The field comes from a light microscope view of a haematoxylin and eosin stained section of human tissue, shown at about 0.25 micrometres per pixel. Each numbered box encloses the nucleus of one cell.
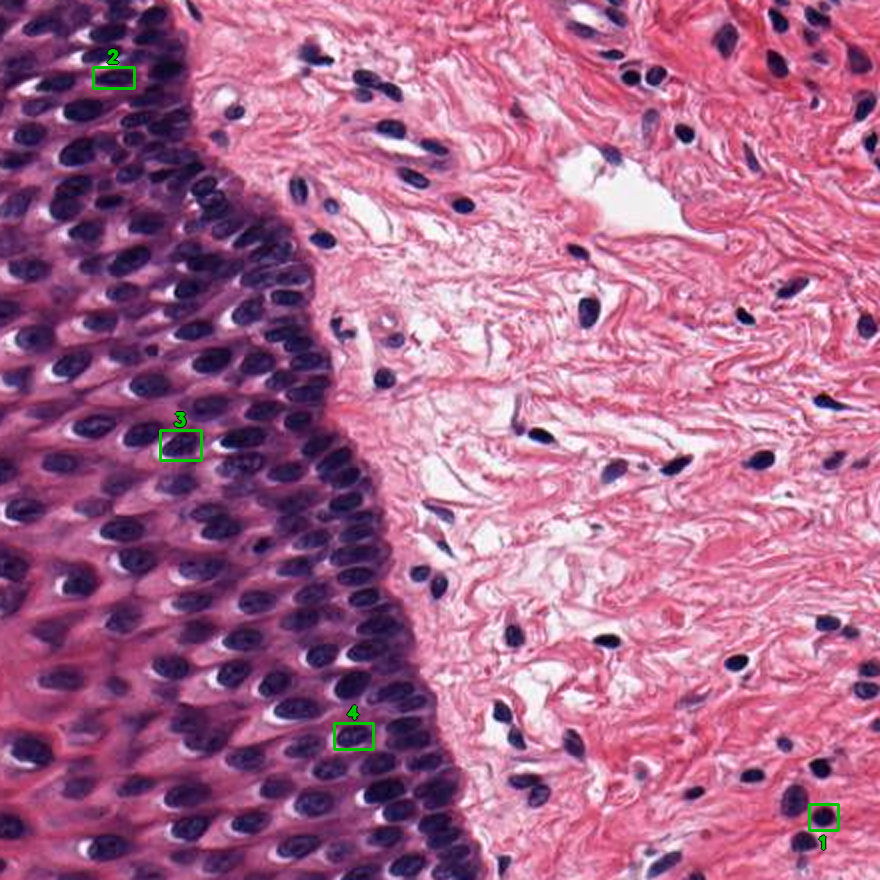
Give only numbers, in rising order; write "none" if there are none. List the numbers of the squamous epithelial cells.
2, 3, 4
